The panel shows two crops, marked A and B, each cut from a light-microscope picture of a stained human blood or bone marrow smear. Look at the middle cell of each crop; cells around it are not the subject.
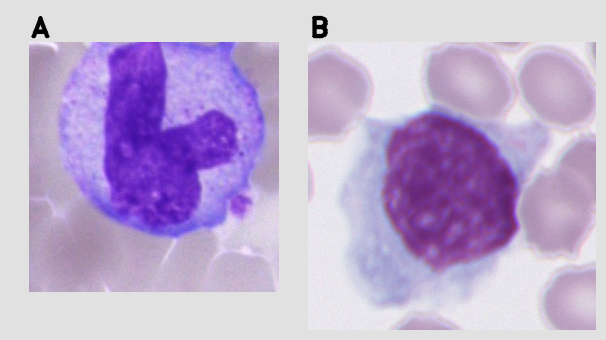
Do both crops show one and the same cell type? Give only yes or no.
yes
